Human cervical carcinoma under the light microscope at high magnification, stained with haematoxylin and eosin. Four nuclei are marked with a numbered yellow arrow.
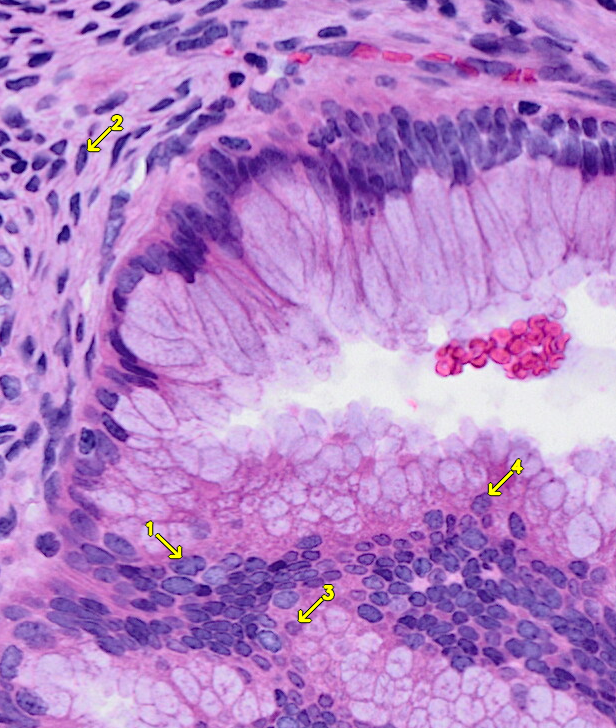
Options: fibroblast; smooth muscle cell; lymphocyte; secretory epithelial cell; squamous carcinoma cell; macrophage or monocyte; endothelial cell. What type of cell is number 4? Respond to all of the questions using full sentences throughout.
Corresponding to a secretory epithelial cell is the cell labelled 4.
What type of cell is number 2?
Cell 2 in the field is a fibroblast.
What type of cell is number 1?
The cell that is numbered 1 is a secretory epithelial cell.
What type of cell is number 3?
The marked cell bearing number 3 is a secretory epithelial cell.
